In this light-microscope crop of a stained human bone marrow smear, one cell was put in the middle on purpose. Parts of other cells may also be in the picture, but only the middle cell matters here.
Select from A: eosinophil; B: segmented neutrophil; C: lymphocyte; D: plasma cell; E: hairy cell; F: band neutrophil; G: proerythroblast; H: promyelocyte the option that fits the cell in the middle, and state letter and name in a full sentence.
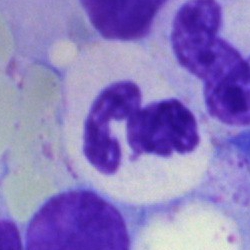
Option B is right in identifying the central cell as a segmented neutrophil.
